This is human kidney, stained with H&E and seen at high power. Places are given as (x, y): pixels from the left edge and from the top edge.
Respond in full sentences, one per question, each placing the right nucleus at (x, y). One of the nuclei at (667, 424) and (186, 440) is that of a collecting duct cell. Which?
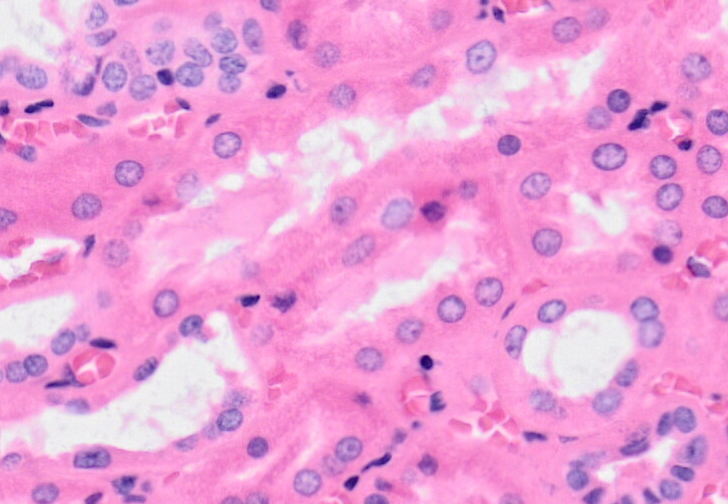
The nucleus at (667, 424) belongs to a collecting duct cell, which distinguishes it from the other nucleus.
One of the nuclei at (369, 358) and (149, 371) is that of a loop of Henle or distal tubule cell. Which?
The nucleus whose position is (149, 371) belongs to a loop of Henle or distal tubule cell.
